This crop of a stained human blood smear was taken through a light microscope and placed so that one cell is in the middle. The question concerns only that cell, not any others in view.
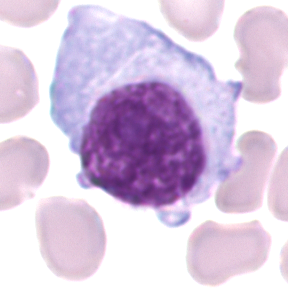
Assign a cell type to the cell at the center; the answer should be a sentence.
The cell at the middle of the frame should be recorded as a plasma cell.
